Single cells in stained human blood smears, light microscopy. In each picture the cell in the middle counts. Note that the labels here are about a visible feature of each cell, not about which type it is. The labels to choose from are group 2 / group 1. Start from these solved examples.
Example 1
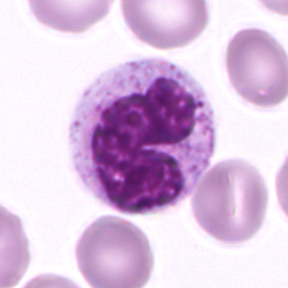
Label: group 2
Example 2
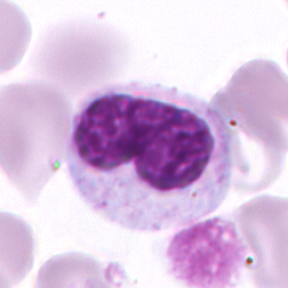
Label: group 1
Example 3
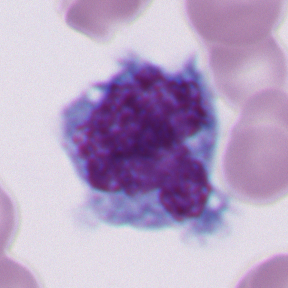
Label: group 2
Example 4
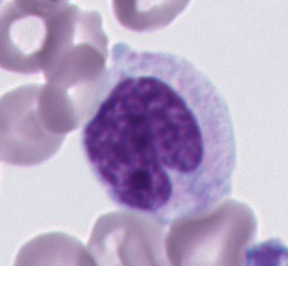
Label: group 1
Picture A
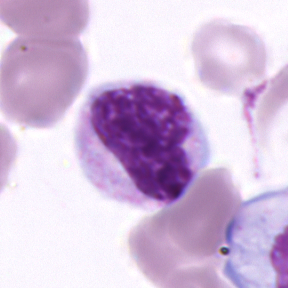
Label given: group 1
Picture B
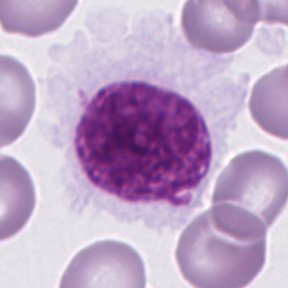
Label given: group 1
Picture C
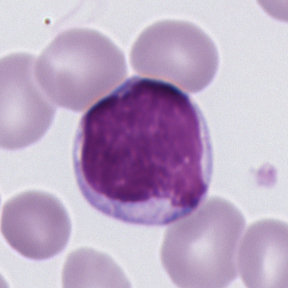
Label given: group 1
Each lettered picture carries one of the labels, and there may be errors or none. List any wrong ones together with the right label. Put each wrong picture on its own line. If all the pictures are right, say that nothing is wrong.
Nothing to fix; every label fits.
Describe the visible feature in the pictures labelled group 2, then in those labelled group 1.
group 2: lobed nucleus; group 1: single compact nucleus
